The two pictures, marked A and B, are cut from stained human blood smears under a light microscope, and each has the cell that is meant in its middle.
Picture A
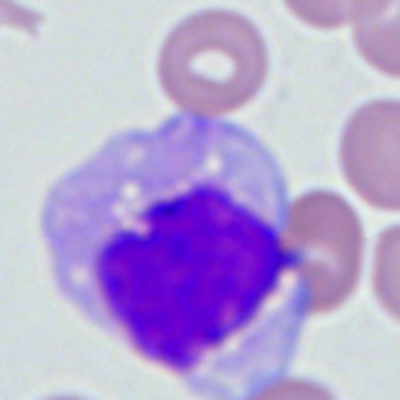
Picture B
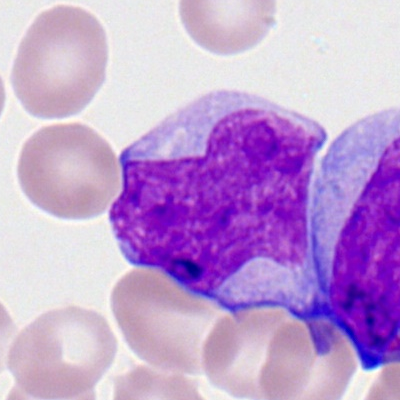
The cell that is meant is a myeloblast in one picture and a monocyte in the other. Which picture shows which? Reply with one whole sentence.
It is picture A that shows a monocyte, and picture B that shows a myeloblast.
